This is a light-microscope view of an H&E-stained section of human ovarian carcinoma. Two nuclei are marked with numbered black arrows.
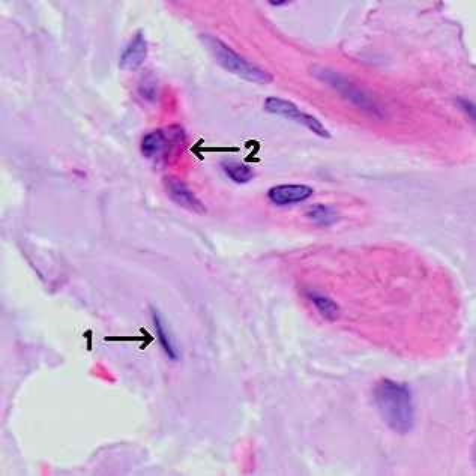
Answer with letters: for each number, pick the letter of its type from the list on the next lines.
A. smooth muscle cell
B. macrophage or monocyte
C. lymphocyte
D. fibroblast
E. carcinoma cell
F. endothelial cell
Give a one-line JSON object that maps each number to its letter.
{"1": "D", "2": "F"}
